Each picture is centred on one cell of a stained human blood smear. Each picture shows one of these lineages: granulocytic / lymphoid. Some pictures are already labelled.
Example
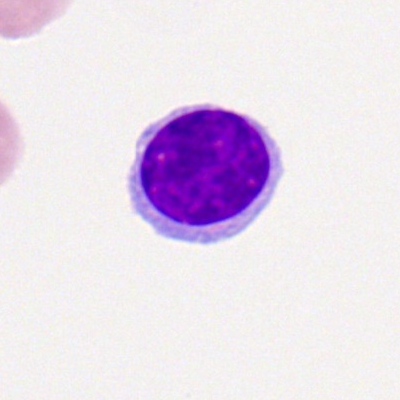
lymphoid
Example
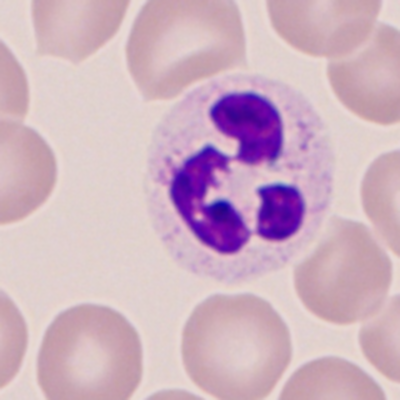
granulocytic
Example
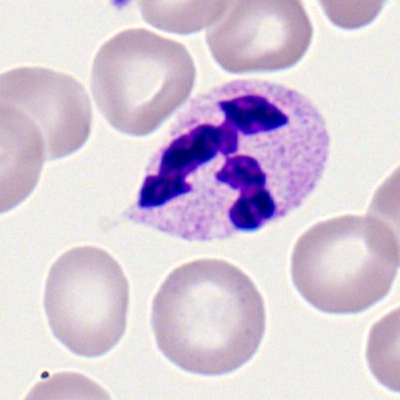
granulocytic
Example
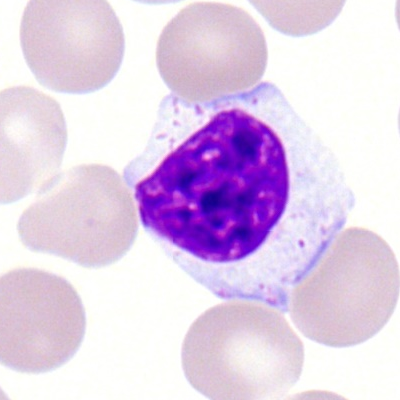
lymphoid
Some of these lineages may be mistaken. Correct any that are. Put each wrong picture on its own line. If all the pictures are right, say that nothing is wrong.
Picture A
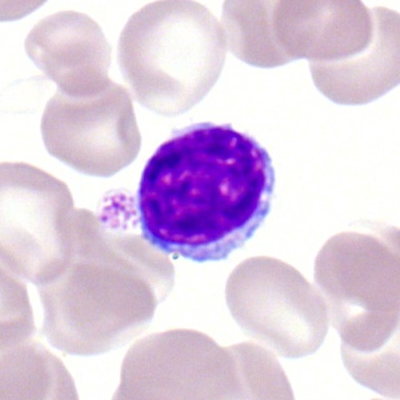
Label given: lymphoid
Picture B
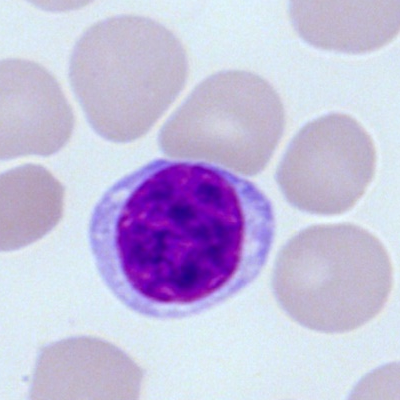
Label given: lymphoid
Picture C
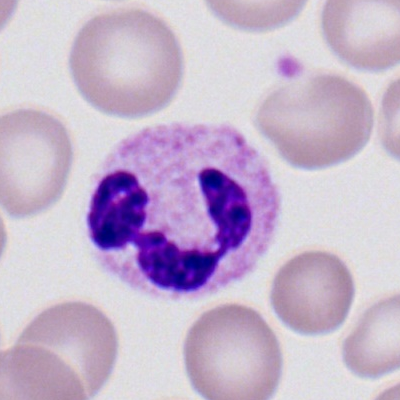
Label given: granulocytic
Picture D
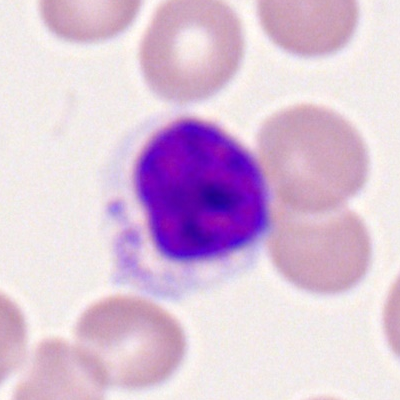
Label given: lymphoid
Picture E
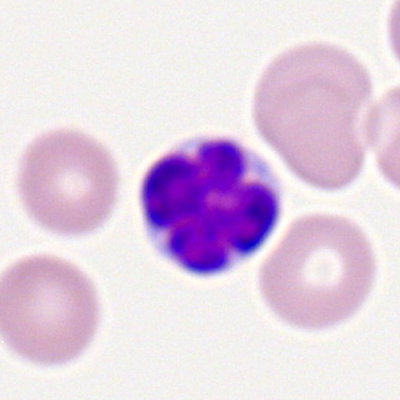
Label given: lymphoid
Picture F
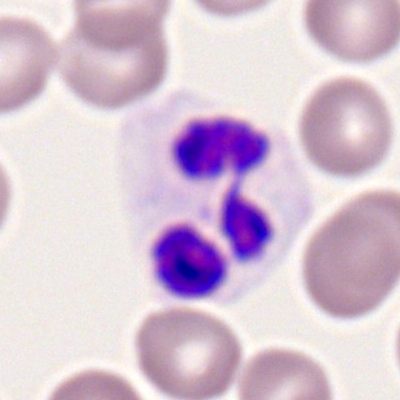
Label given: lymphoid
F: change lymphoid to granulocytic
